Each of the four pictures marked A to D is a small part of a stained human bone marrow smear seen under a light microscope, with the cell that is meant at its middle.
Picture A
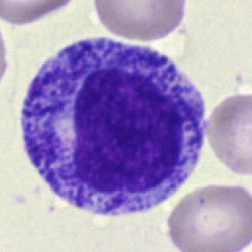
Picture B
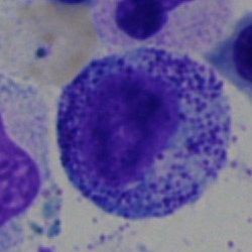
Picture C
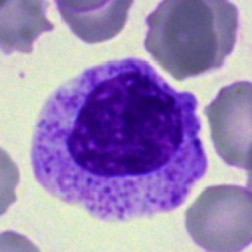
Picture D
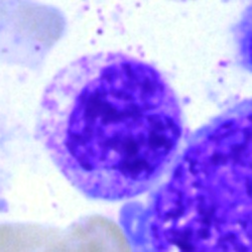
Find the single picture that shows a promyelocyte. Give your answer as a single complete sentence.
The picture with the promyelocyte is B.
